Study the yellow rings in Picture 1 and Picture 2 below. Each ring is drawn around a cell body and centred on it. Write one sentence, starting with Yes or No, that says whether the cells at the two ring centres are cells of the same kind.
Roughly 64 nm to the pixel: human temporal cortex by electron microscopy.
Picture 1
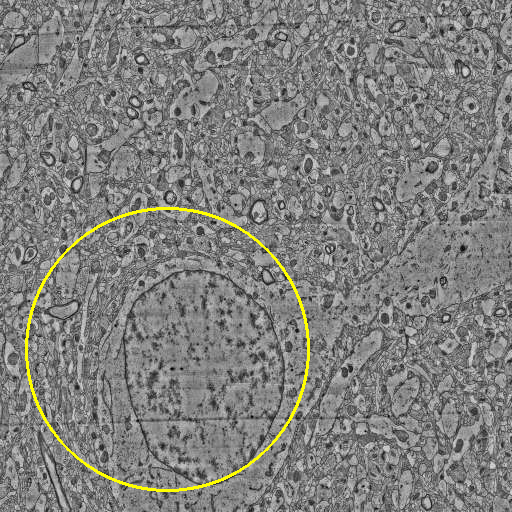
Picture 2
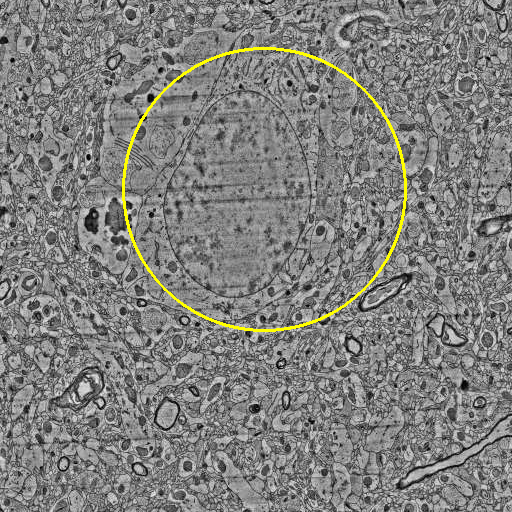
Yes, the cells at both ring centres are of the same kind.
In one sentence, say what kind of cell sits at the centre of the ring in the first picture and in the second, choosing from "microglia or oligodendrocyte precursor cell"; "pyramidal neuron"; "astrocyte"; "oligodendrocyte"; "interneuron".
Both rings mark a pyramidal neuron, one in each picture.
